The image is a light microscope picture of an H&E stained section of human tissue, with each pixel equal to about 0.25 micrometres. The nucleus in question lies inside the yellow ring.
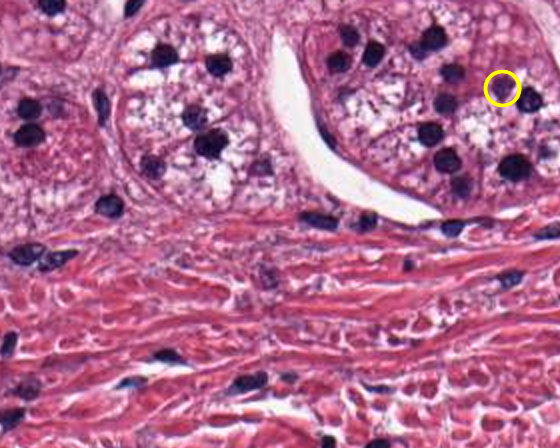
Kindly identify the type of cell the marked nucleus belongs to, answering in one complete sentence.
The marked nucleus is found in an adrenal cortical cell.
